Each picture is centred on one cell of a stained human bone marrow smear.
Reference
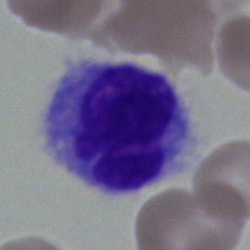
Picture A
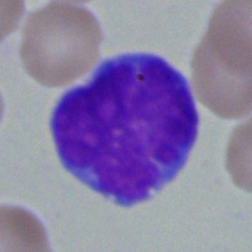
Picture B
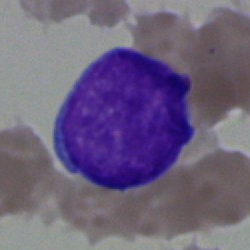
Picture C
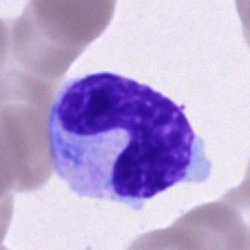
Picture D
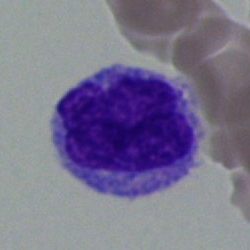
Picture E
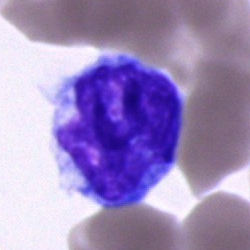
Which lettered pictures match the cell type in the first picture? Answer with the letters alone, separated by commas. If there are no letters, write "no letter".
D, E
